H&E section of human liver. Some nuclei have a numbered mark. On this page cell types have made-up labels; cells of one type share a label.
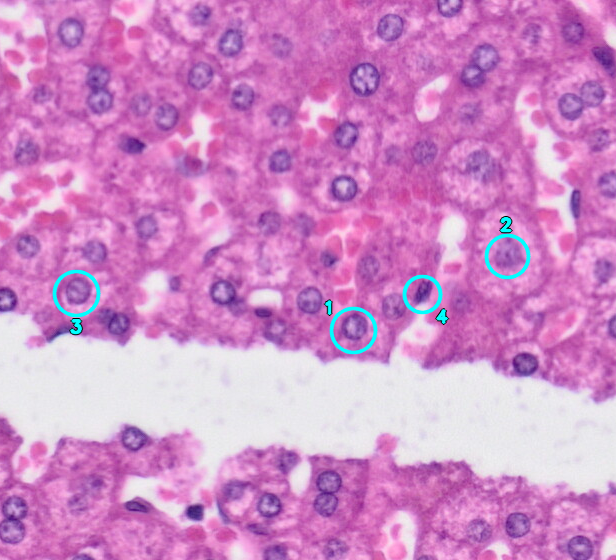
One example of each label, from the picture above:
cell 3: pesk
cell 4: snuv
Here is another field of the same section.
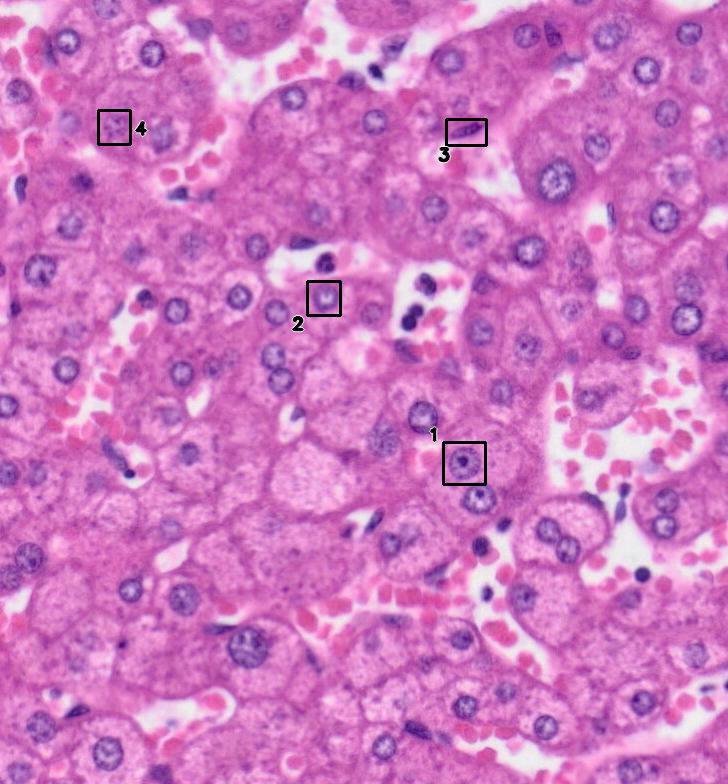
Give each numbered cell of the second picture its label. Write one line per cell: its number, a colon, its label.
1: pesk
2: pesk
3: snuv
4: pesk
